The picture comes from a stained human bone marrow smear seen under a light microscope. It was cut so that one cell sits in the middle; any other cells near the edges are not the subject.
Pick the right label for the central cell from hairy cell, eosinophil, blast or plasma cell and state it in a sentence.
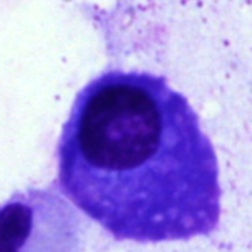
Where the crop is centred, there is a plasma cell.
